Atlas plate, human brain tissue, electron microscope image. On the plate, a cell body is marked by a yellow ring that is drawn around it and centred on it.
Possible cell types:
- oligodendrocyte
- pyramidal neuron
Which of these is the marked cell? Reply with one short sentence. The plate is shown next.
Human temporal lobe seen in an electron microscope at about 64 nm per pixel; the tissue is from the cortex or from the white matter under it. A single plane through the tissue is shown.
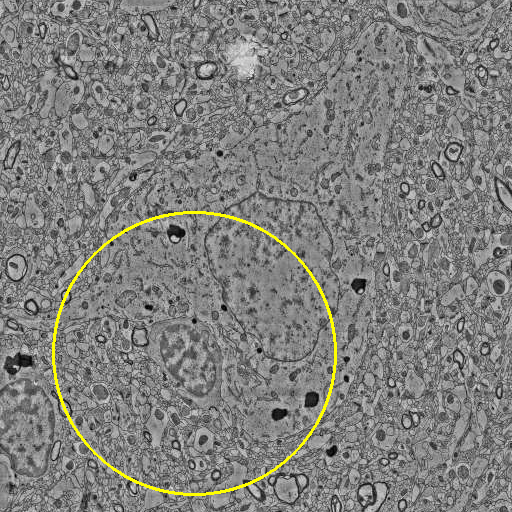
The marked cell is an oligodendrocyte.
